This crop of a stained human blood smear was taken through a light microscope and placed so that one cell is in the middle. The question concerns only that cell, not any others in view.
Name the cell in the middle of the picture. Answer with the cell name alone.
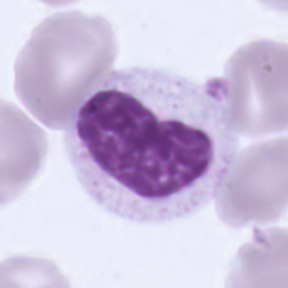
band neutrophil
